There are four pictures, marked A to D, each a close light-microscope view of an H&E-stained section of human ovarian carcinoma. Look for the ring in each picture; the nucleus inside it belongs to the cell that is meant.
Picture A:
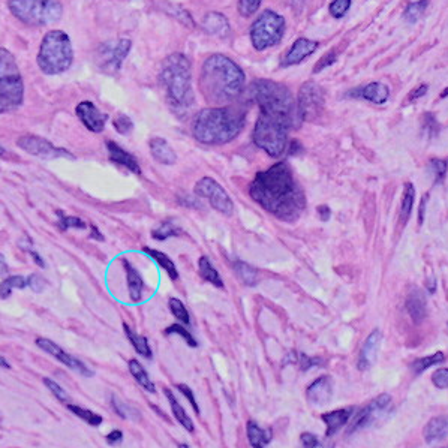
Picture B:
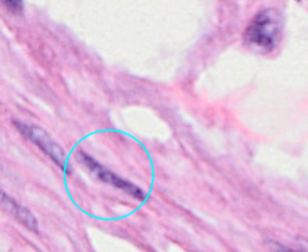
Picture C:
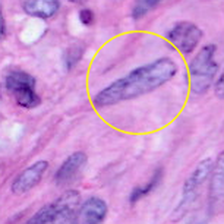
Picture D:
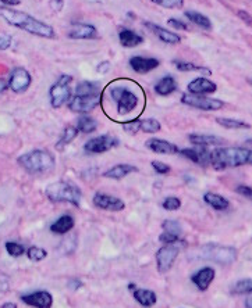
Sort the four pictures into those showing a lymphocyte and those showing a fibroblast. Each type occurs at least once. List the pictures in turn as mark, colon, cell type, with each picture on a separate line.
A: fibroblast
B: fibroblast
C: fibroblast
D: lymphocyte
